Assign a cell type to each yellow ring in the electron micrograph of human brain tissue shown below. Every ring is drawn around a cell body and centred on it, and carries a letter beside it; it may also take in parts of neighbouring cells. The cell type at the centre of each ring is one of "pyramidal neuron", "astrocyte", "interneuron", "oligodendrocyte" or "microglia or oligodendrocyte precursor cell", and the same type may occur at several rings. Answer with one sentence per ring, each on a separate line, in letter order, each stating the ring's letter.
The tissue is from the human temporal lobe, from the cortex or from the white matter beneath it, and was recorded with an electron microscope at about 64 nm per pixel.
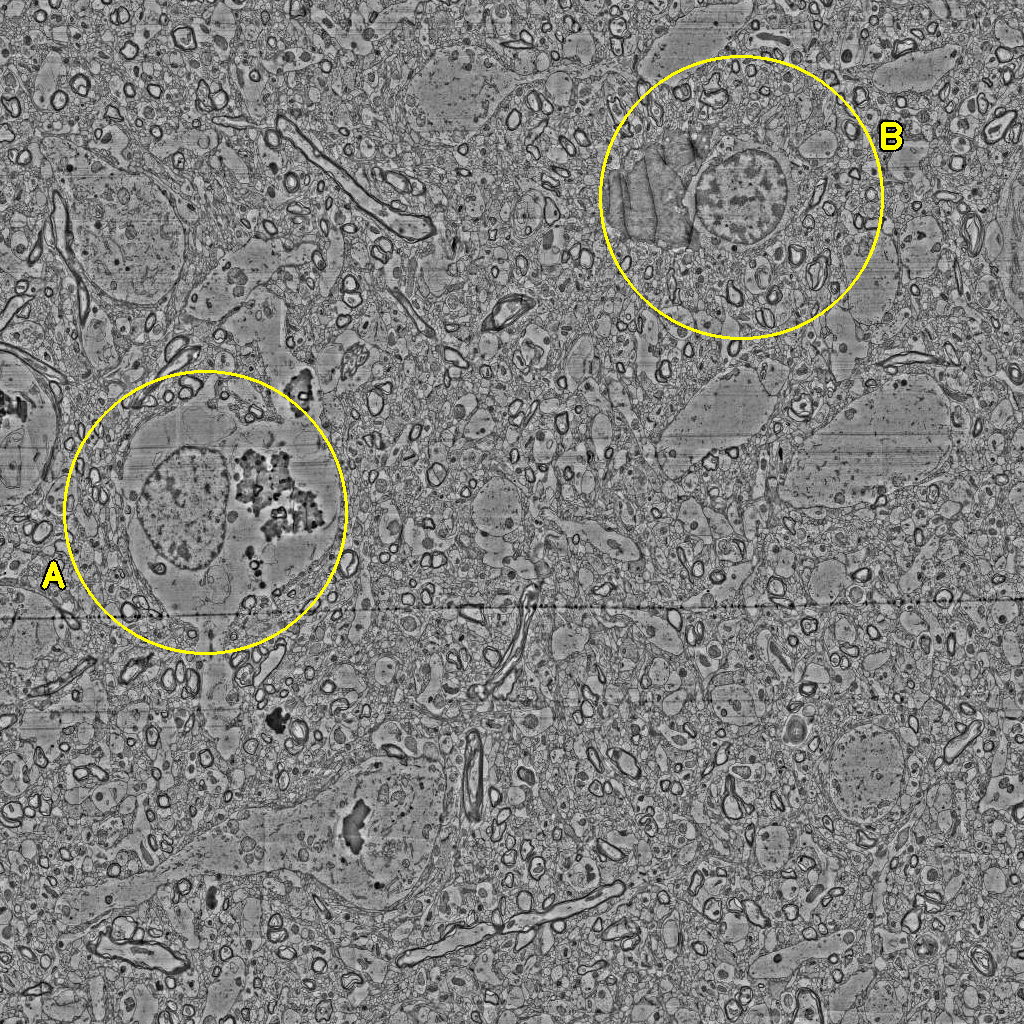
The cell at ring A's centre is an astrocyte.
The cell at ring B's centre is an oligodendrocyte.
